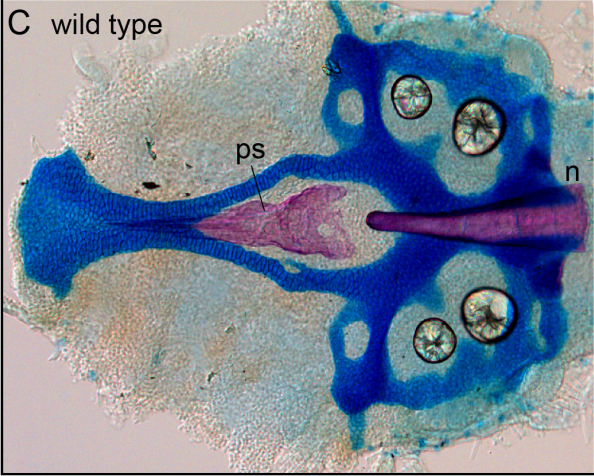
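The blue cartilage forms a broad front plate that splits into two thin rods running back to a wide posterior plate with openings, which surrounds paired round, crystalline bodies. The cartilage shows a fine cobbled texture of packed chondrocytes.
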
